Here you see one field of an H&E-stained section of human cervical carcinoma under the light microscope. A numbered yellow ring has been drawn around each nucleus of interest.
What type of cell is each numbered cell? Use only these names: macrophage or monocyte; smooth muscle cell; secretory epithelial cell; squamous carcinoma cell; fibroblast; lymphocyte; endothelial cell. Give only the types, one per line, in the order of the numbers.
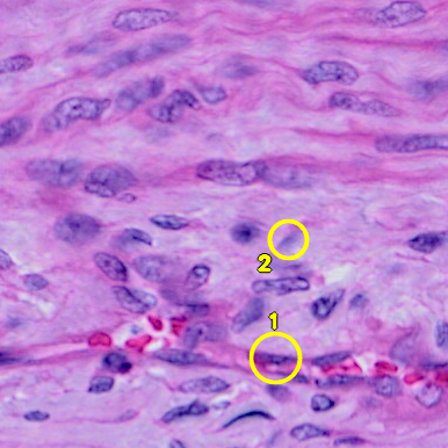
endothelial cell
fibroblast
